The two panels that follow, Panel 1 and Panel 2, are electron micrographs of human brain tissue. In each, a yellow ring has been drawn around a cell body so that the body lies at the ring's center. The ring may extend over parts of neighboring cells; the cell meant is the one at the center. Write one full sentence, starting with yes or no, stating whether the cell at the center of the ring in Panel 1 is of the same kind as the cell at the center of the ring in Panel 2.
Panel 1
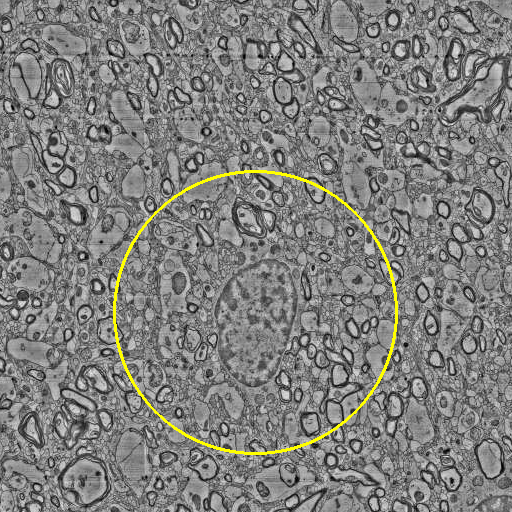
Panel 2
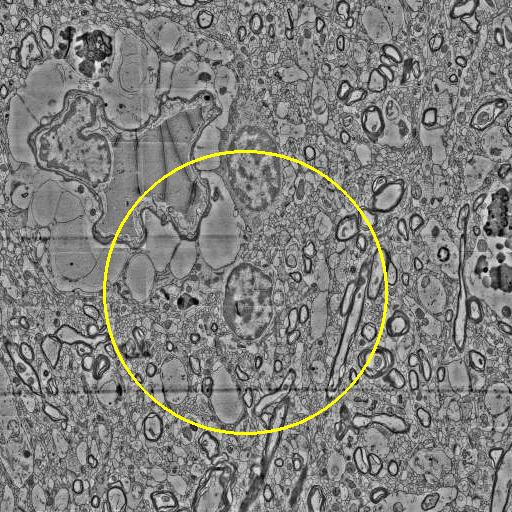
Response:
No, the cells in the two panels are of two kinds.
